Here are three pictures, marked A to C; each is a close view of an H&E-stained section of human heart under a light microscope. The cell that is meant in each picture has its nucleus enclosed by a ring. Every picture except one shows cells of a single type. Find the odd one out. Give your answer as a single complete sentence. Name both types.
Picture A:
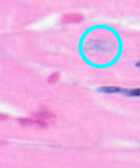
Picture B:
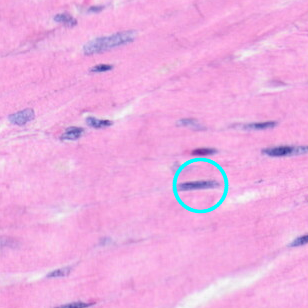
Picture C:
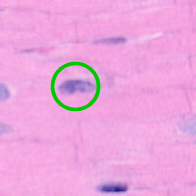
The others show endothelial cells, but picture A shows a cardiomyocyte.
